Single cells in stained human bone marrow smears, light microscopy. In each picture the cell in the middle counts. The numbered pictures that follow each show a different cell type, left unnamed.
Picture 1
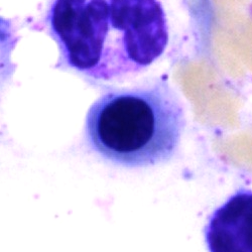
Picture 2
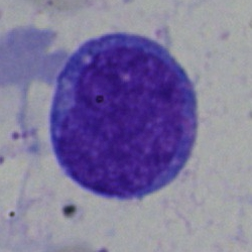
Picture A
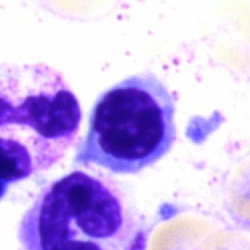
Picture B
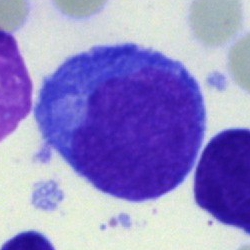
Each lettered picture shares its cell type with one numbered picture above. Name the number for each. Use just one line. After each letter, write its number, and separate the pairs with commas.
A 1, B 2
